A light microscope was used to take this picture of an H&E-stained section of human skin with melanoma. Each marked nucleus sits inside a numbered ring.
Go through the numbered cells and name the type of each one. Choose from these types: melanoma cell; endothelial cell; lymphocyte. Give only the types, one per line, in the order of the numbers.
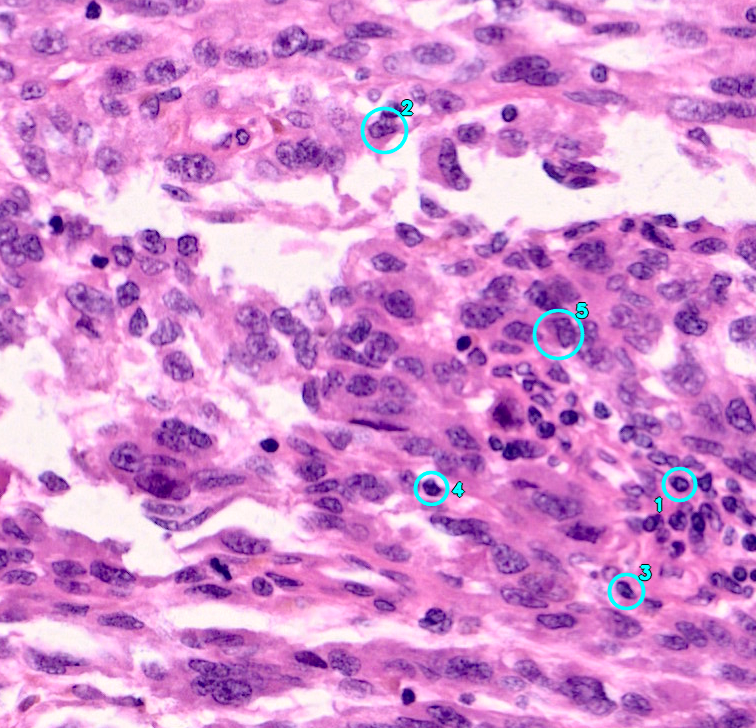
lymphocyte
melanoma cell
lymphocyte
lymphocyte
melanoma cell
